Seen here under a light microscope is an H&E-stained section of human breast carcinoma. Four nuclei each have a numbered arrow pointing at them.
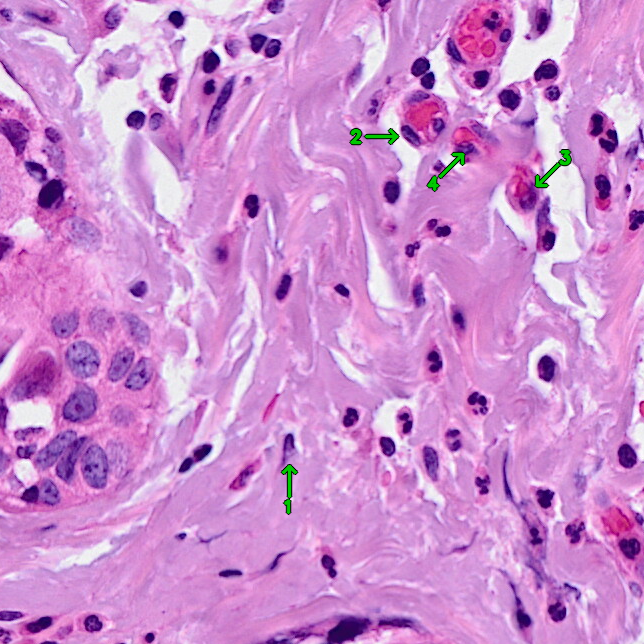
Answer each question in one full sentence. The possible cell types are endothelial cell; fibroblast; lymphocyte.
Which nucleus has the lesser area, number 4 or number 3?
With nucleus 3 about 2 times its size, nucleus 4 is the smaller of the two.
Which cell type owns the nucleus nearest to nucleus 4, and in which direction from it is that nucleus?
The closest nucleus belongs to an endothelial cell and sits above and to the right of nucleus 4.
